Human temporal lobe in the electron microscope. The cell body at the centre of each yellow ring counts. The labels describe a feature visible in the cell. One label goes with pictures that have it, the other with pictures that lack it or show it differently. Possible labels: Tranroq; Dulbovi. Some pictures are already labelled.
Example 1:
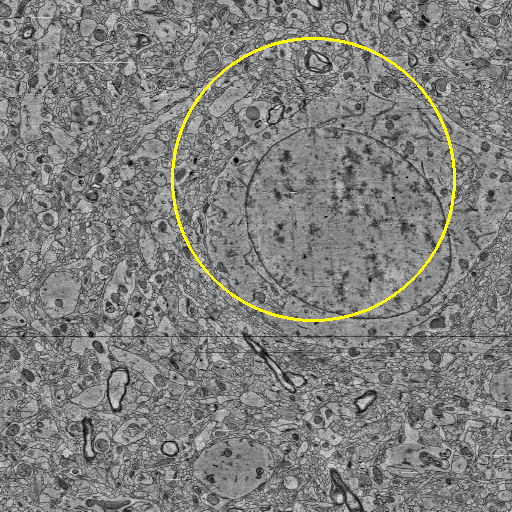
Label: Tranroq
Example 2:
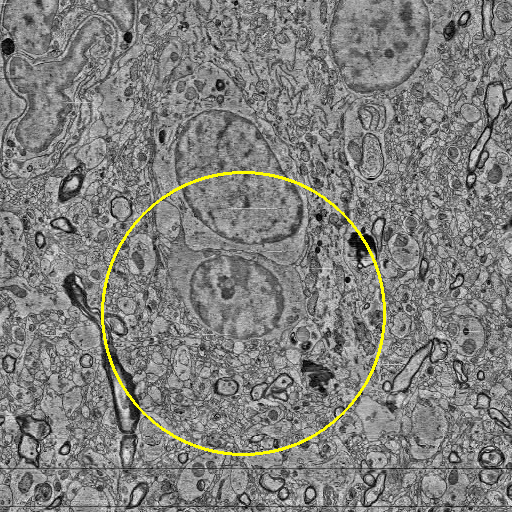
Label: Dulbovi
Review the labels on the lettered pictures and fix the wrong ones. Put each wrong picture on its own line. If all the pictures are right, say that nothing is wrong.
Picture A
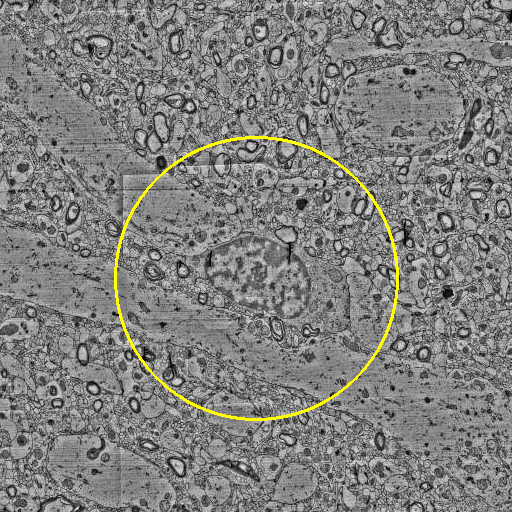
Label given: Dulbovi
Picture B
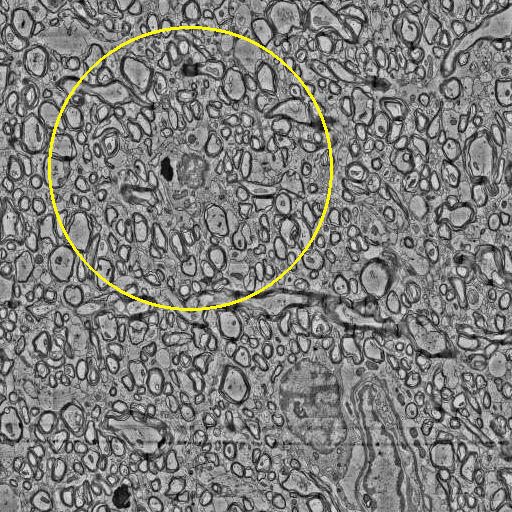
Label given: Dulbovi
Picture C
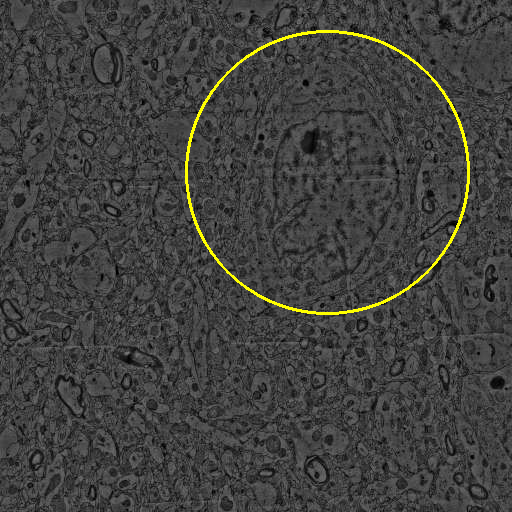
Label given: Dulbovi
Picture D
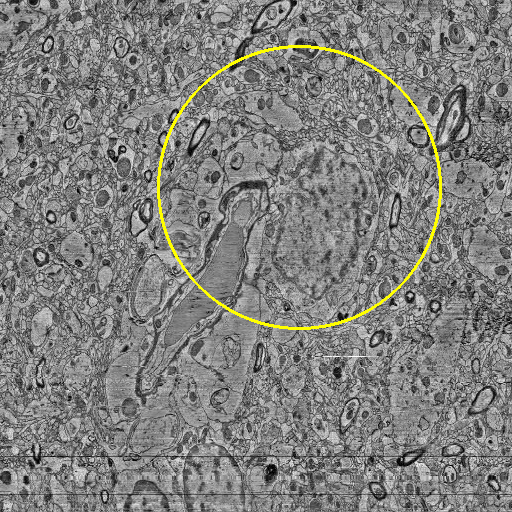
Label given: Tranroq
A: Tranroq, not Dulbovi
B: Tranroq, not Dulbovi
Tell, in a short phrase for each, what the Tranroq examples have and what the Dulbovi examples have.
Tranroq, no nucleolus seen; Dulbovi, nucleolus seen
